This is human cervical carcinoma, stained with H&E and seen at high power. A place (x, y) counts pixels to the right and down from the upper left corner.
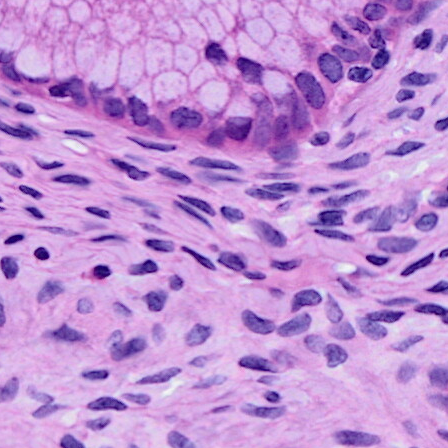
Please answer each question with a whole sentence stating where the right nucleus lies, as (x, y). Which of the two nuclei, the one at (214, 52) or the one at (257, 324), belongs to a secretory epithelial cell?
The nucleus of a secretory epithelial cell is the one found at (214, 52), not the other.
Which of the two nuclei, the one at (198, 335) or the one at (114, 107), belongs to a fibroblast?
Of the two nuclei, the one sitting at (198, 335) belongs to a fibroblast.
